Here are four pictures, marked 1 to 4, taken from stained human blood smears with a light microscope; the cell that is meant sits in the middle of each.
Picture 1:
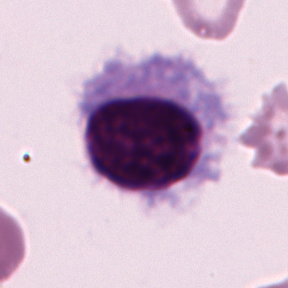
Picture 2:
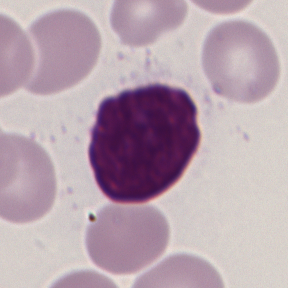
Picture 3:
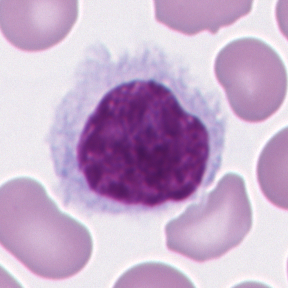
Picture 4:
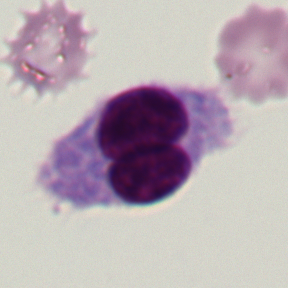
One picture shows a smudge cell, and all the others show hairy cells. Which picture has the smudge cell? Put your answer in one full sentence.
The picture with the smudge cell is 2.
